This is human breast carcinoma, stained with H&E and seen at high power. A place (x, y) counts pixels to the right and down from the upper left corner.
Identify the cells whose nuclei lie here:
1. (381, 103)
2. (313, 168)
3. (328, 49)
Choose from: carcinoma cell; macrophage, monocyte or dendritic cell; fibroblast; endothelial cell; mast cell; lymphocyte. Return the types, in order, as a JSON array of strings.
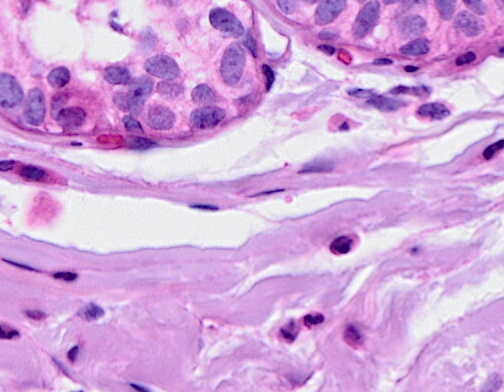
["fibroblast", "fibroblast", "endothelial cell"]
